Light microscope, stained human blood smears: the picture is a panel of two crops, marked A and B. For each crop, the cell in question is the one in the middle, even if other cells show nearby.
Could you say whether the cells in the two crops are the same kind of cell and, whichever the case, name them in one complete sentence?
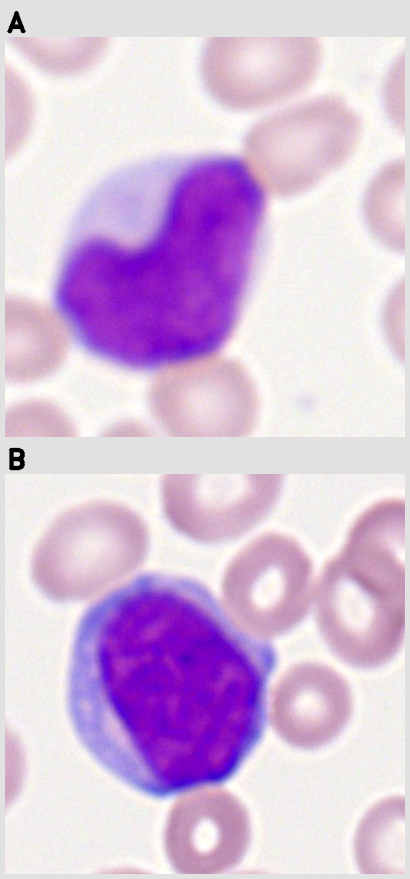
Yes, the central cells in both crops are blasts.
